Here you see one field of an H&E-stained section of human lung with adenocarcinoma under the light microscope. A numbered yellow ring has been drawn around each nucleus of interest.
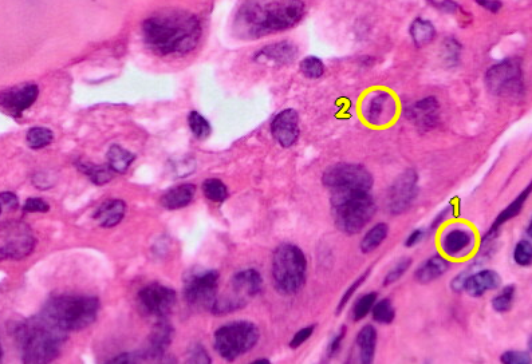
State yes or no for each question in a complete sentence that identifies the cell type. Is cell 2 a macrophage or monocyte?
Yes, the cell whose number is 2 is a macrophage or monocyte.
